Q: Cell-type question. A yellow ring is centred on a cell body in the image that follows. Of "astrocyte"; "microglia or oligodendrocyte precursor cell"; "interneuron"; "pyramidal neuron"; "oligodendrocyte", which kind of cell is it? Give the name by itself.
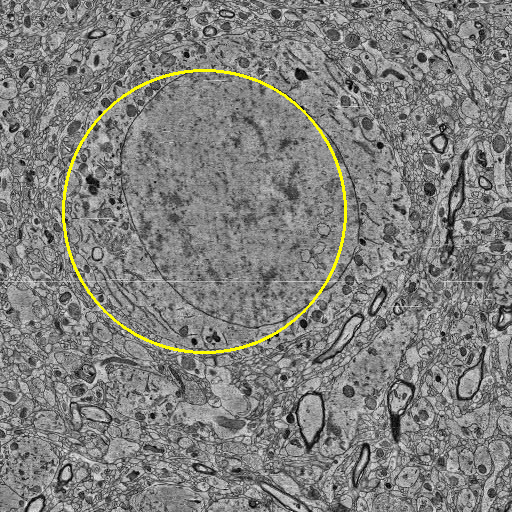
pyramidal neuron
